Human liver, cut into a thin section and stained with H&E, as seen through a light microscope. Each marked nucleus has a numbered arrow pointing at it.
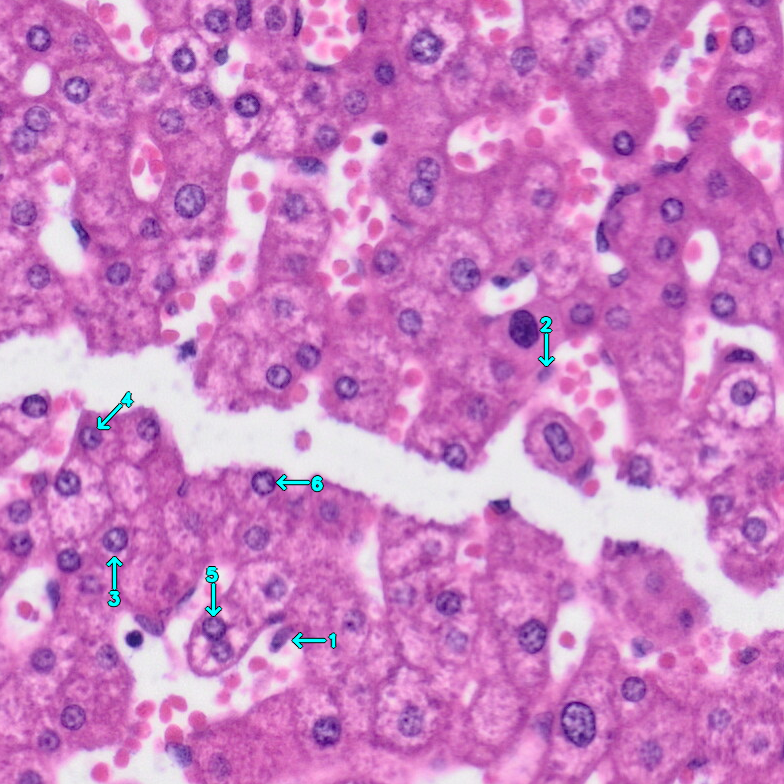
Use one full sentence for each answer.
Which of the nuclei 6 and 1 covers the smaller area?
With nucleus 6 about 1.5 times its size, nucleus 1 is the smaller of the two.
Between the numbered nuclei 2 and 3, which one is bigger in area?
Nucleus 3 covers more area, about 3 times as much as nucleus 2.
